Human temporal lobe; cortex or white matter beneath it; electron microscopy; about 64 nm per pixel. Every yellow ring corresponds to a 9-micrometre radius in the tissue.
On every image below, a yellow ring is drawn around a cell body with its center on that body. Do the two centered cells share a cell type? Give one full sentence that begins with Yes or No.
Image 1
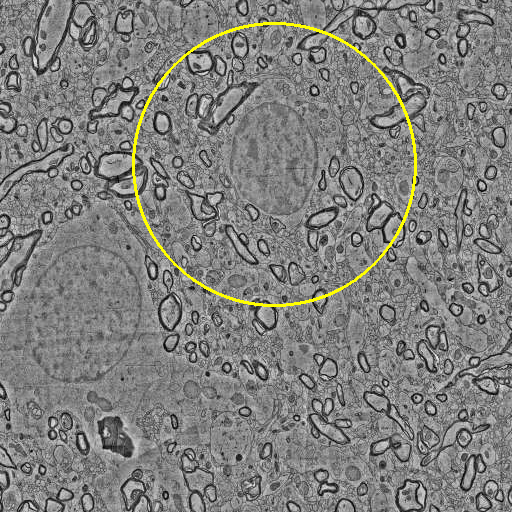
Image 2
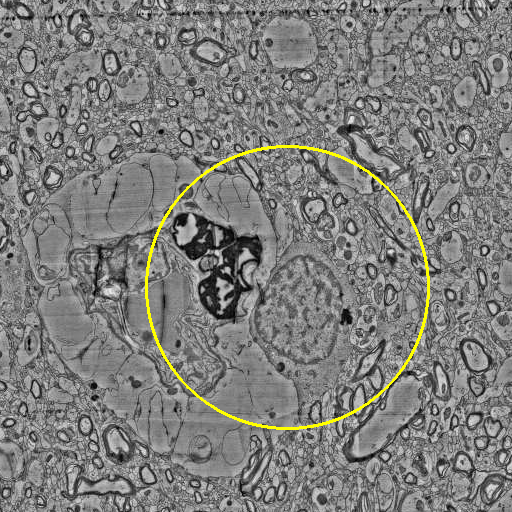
Yes, the centered cells in the two images are of a single cell type.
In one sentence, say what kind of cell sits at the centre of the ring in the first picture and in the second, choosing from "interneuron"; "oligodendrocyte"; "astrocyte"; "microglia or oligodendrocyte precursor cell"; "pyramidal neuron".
The first and the second cell are each an oligodendrocyte.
